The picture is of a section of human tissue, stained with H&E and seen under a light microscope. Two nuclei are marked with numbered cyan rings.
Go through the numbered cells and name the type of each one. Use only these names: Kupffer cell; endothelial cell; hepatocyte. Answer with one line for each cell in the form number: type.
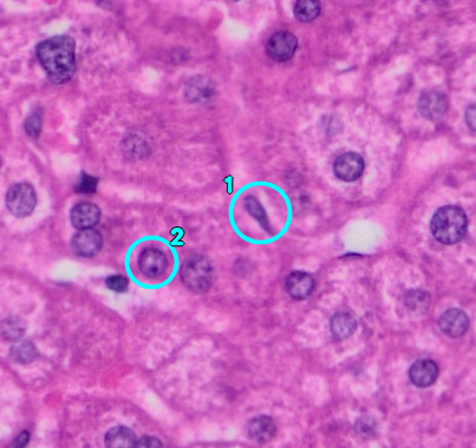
1: Kupffer cell
2: hepatocyte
